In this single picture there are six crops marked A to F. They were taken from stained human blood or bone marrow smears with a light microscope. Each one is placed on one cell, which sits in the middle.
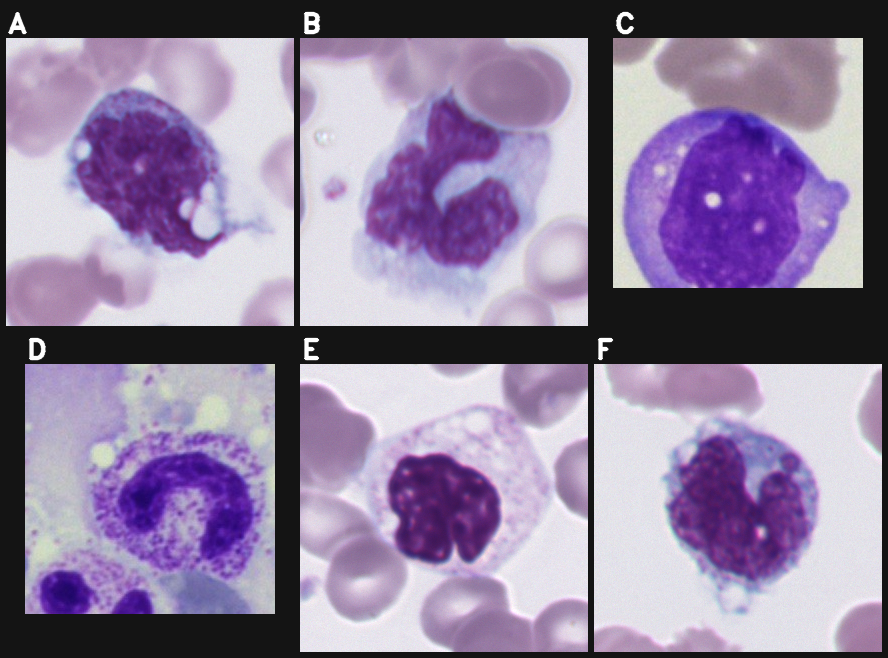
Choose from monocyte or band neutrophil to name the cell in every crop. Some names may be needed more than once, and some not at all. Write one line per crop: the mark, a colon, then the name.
A: monocyte
B: monocyte
C: monocyte
D: band neutrophil
E: band neutrophil
F: monocyte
